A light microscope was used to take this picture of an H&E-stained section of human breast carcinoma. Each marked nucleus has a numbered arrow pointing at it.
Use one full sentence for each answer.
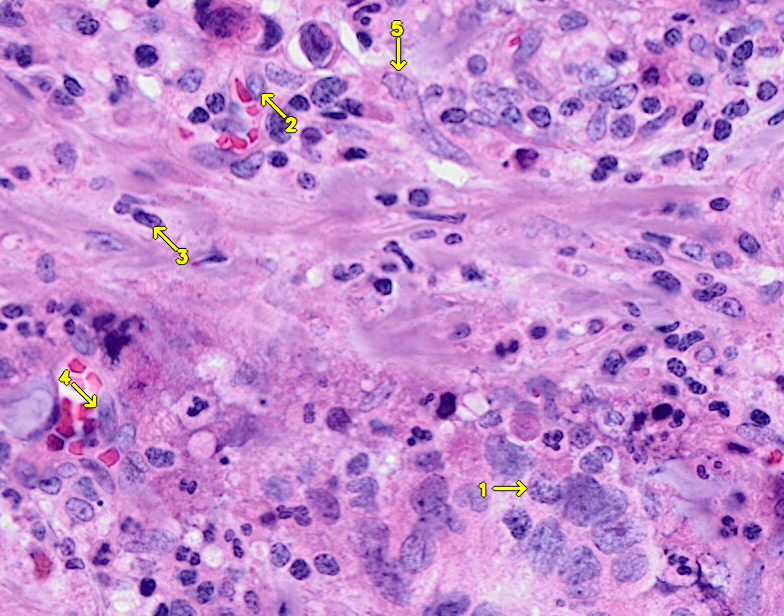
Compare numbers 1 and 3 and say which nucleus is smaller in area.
The smaller nucleus is 3, and 1 covers roughly 2 times its area.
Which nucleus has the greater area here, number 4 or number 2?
At about 2 times the area of nucleus 2, nucleus 4 is the larger of the two.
